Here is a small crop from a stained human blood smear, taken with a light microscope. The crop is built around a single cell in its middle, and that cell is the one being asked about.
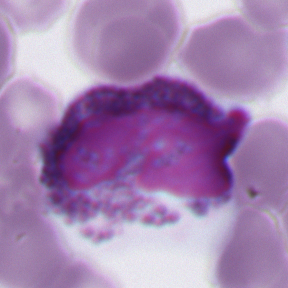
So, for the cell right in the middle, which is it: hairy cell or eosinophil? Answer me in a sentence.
This crop has an eosinophil at its centre.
